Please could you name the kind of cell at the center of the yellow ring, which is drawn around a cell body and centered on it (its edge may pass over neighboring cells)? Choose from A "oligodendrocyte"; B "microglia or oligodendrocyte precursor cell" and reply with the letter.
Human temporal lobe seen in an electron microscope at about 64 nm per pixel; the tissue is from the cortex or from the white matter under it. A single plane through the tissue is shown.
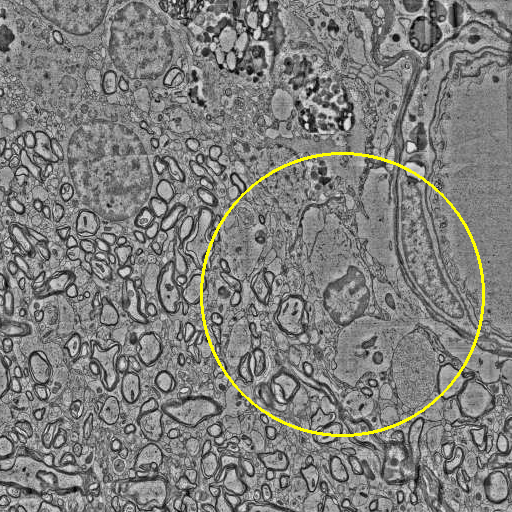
B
